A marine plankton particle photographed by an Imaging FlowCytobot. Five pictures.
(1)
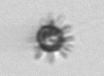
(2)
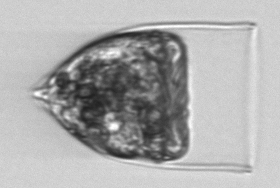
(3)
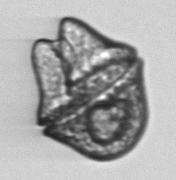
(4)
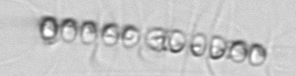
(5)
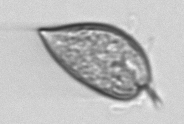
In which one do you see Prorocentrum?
In picture 5.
